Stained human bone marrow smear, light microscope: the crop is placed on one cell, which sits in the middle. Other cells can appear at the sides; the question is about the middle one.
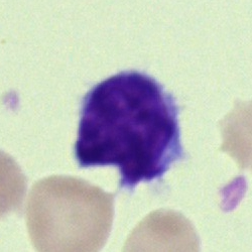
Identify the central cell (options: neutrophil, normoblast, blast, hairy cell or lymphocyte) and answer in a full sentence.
In the middle of this smear crop, the cell is a lymphocyte.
